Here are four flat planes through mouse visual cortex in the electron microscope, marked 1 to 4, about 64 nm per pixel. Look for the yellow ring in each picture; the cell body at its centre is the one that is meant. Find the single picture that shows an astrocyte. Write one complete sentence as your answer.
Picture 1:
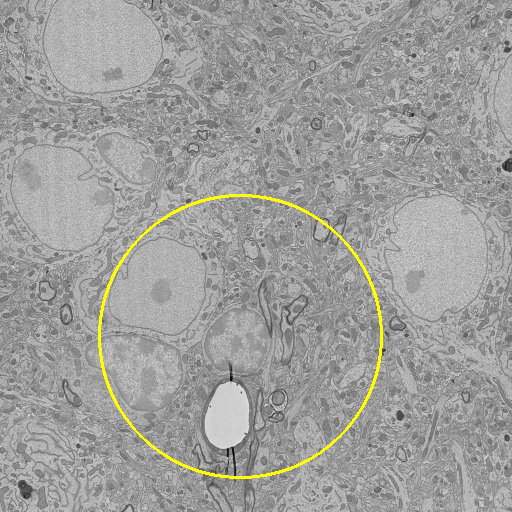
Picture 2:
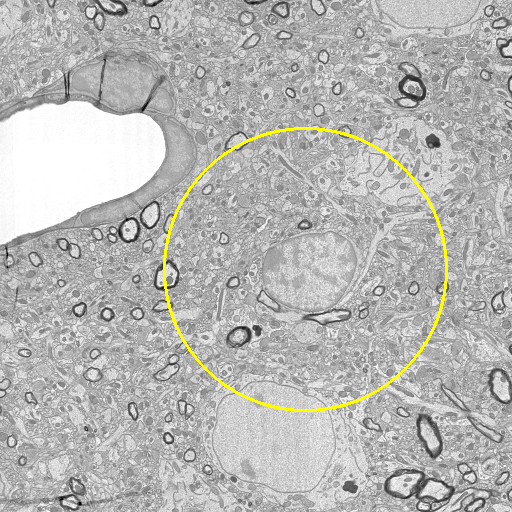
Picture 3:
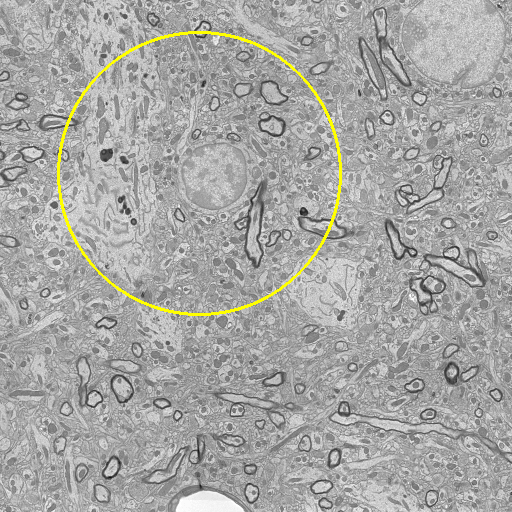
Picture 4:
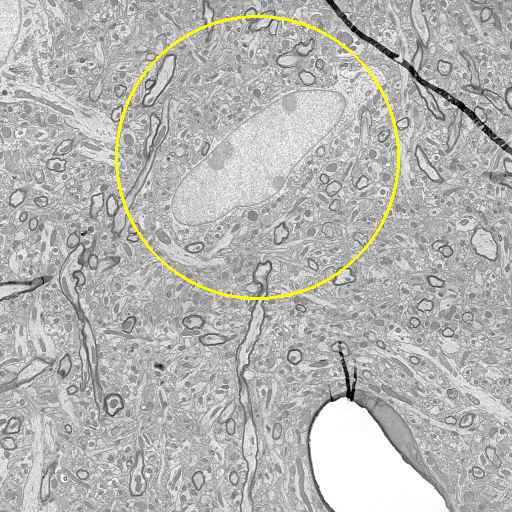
It is picture 4 that shows the astrocyte.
